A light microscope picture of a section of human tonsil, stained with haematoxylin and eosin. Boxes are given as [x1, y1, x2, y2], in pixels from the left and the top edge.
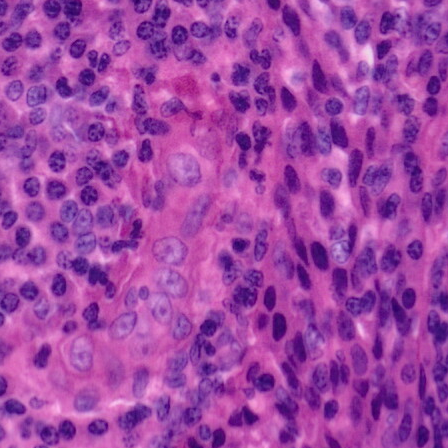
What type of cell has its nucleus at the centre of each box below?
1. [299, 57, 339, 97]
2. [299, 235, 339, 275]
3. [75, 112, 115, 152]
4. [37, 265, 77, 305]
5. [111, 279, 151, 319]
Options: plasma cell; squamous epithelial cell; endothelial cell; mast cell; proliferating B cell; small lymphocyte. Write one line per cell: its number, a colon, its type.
1: squamous epithelial cell
2: squamous epithelial cell
3: plasma cell
4: plasma cell
5: endothelial cell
